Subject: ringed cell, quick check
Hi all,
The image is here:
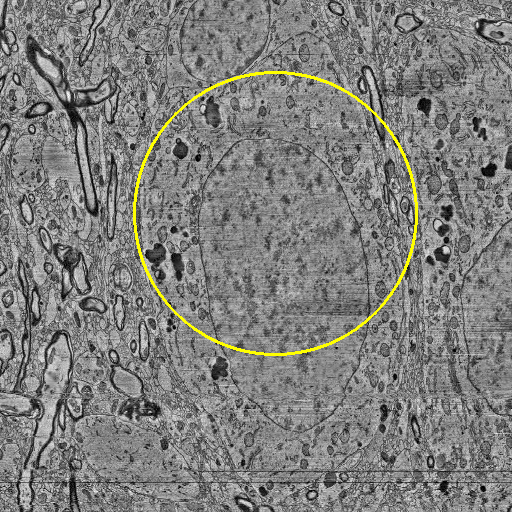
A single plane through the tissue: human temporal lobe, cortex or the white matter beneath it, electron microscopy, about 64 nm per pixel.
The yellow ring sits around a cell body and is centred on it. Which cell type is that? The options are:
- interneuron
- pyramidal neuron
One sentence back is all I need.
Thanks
That ringed cell is a pyramidal neuron.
